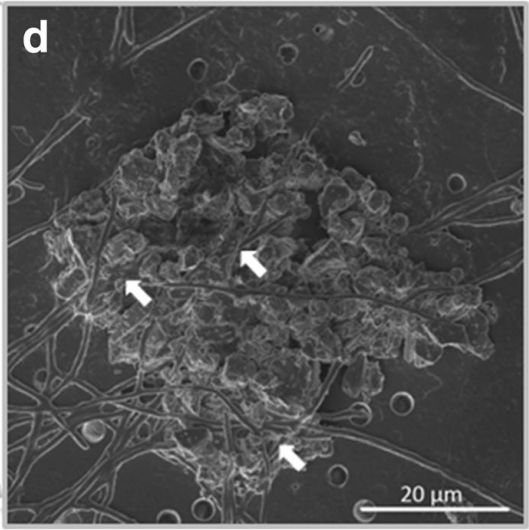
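Long, thin filamentous processes run across the membrane in many directions, between round pores. The particle aggregate is lumpy and rough, built of many small irregular fragments. Several thin processes pass over and across the surface of the aggregate, in direct contact with it.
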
